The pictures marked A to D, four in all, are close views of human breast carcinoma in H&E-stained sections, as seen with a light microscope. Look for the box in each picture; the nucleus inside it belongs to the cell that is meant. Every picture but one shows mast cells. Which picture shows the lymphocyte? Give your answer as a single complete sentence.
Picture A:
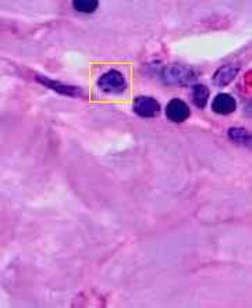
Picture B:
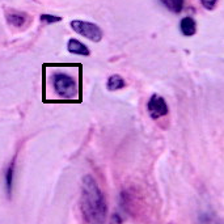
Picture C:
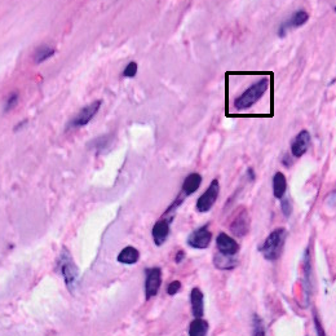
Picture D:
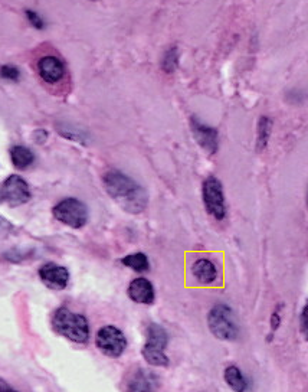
Picture A is the one that shows the lymphocyte.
